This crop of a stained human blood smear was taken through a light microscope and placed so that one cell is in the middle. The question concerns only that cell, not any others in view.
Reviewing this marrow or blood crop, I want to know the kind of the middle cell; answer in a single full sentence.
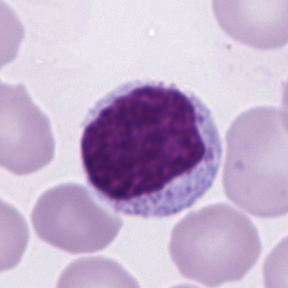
The centrally placed cell is classified as a large granular lymphocyte.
